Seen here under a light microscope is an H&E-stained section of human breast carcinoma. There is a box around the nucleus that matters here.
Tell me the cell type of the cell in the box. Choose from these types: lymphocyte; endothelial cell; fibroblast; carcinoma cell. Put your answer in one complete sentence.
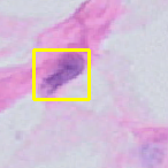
It is as a fibroblast that the cell in the box is recorded.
